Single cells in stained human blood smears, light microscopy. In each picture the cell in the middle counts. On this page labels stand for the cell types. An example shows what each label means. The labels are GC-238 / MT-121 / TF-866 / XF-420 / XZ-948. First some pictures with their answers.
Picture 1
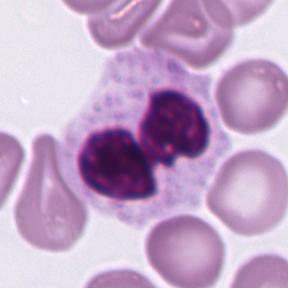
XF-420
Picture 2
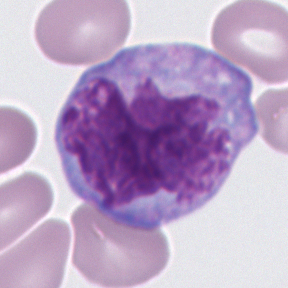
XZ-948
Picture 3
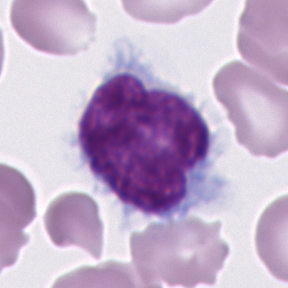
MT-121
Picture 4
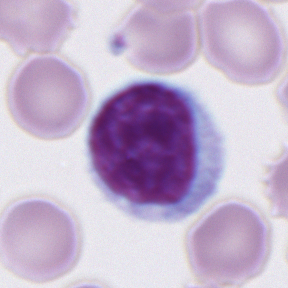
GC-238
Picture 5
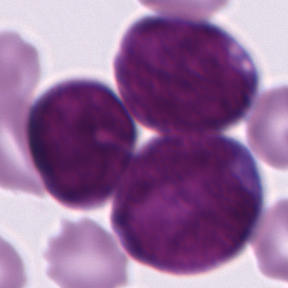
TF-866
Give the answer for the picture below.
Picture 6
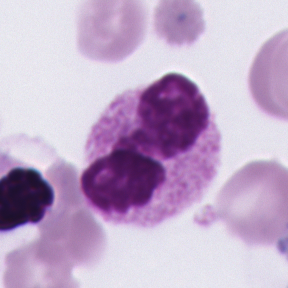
XF-420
